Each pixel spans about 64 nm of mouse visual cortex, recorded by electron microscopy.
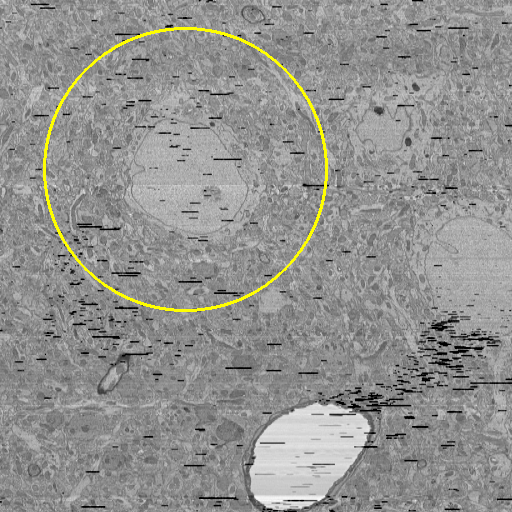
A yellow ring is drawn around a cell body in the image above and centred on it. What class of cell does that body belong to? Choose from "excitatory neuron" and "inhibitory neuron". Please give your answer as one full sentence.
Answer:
The yellow ring above is centred on the cell body of an excitatory neuron.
